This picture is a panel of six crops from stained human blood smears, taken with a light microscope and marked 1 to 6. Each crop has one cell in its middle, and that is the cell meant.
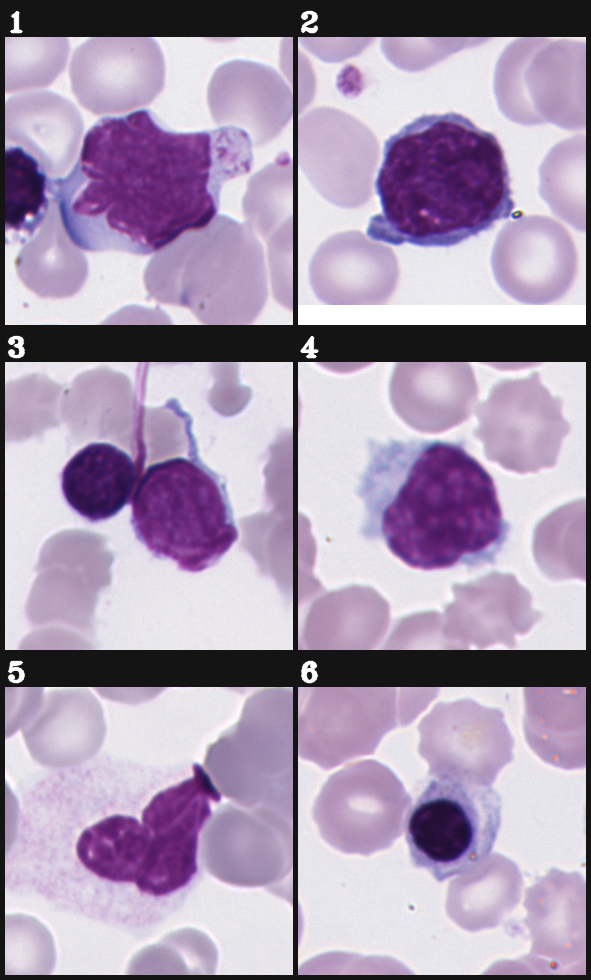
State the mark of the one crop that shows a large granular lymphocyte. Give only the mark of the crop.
1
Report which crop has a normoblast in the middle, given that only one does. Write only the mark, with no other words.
6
